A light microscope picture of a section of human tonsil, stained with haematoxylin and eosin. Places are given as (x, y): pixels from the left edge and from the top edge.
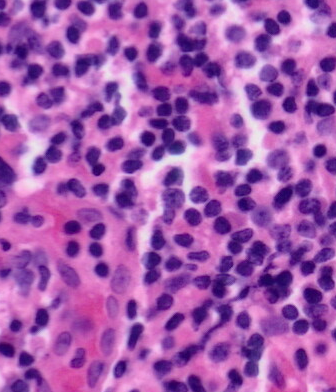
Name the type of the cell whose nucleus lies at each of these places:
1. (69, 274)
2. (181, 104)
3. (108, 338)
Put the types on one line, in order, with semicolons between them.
endothelial cell; small lymphocyte; endothelial cell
